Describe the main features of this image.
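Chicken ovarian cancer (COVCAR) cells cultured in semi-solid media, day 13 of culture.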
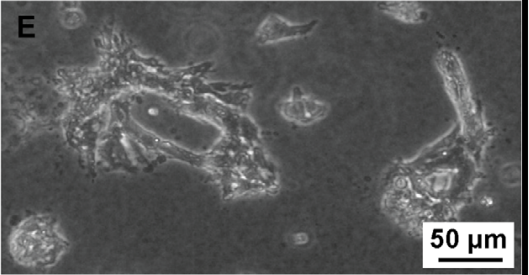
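In the left cluster elongated cells form a ring around a clear central space, with many spiky projections at the outer edge. A smaller cluster with an elongated strand of cells lies at the right, and scattered single rounded cells are spread over the background.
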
